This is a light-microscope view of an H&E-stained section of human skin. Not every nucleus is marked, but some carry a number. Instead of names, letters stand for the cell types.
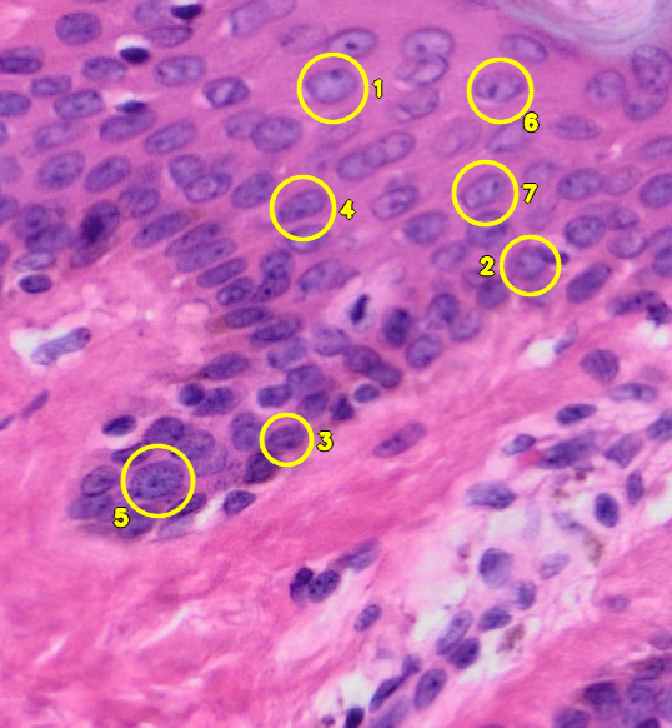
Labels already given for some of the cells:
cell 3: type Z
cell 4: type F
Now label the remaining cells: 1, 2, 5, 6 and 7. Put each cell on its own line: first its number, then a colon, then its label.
1: type F
2: type Z
5: type Z
6: type F
7: type F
